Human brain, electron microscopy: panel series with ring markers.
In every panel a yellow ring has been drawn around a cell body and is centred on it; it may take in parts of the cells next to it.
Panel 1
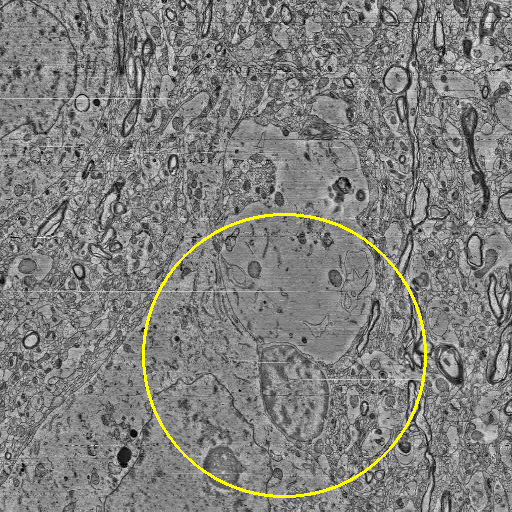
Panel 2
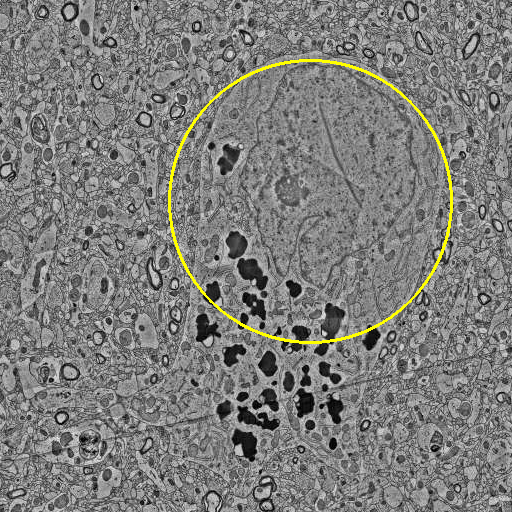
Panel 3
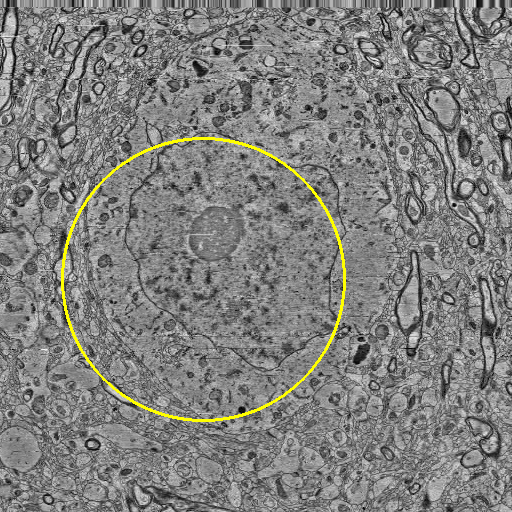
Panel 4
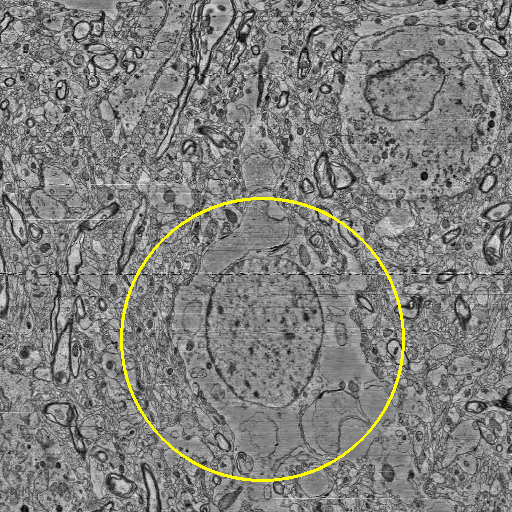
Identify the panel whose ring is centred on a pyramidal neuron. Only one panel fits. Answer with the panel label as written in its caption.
Panel 3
